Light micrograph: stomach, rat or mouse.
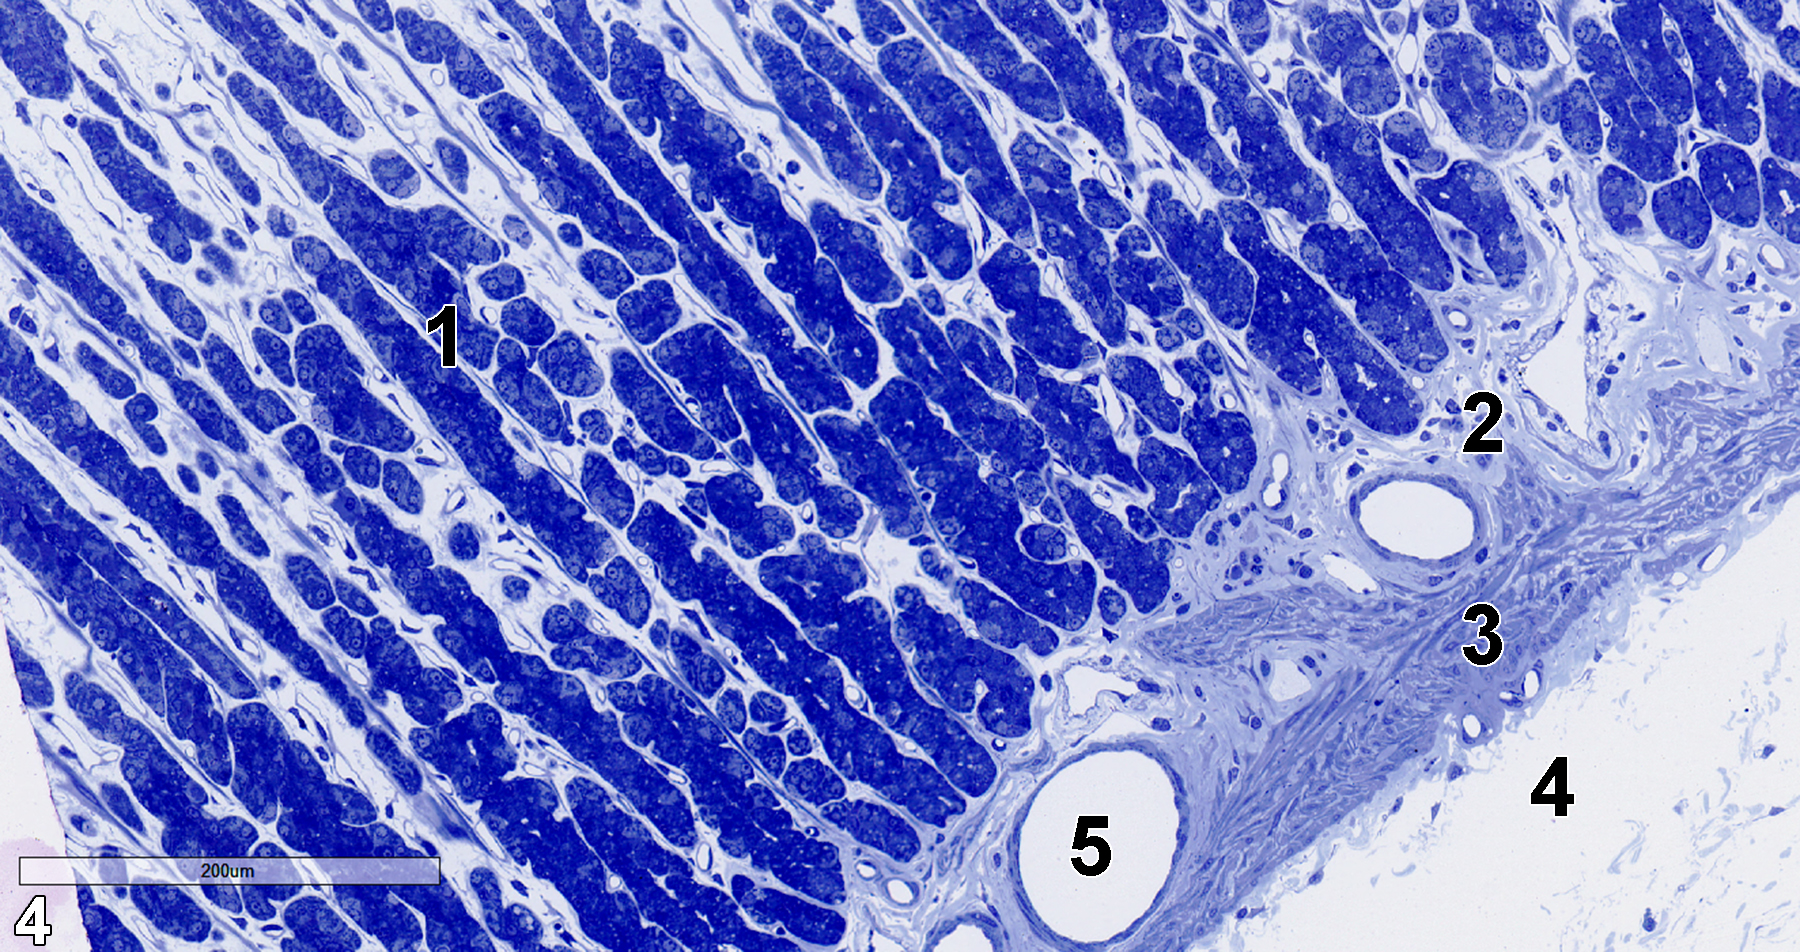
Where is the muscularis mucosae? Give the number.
3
